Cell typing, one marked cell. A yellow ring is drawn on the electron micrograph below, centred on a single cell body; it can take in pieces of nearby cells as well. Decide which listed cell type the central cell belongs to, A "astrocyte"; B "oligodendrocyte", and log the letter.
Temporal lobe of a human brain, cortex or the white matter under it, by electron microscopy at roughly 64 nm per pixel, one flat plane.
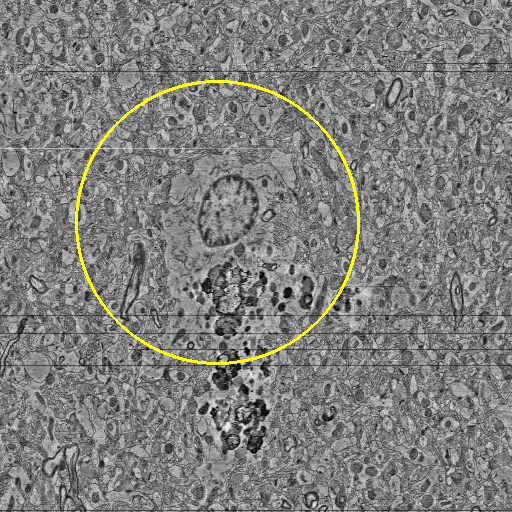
A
